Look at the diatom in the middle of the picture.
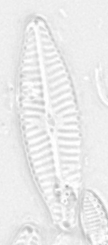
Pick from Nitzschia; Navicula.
Navicula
